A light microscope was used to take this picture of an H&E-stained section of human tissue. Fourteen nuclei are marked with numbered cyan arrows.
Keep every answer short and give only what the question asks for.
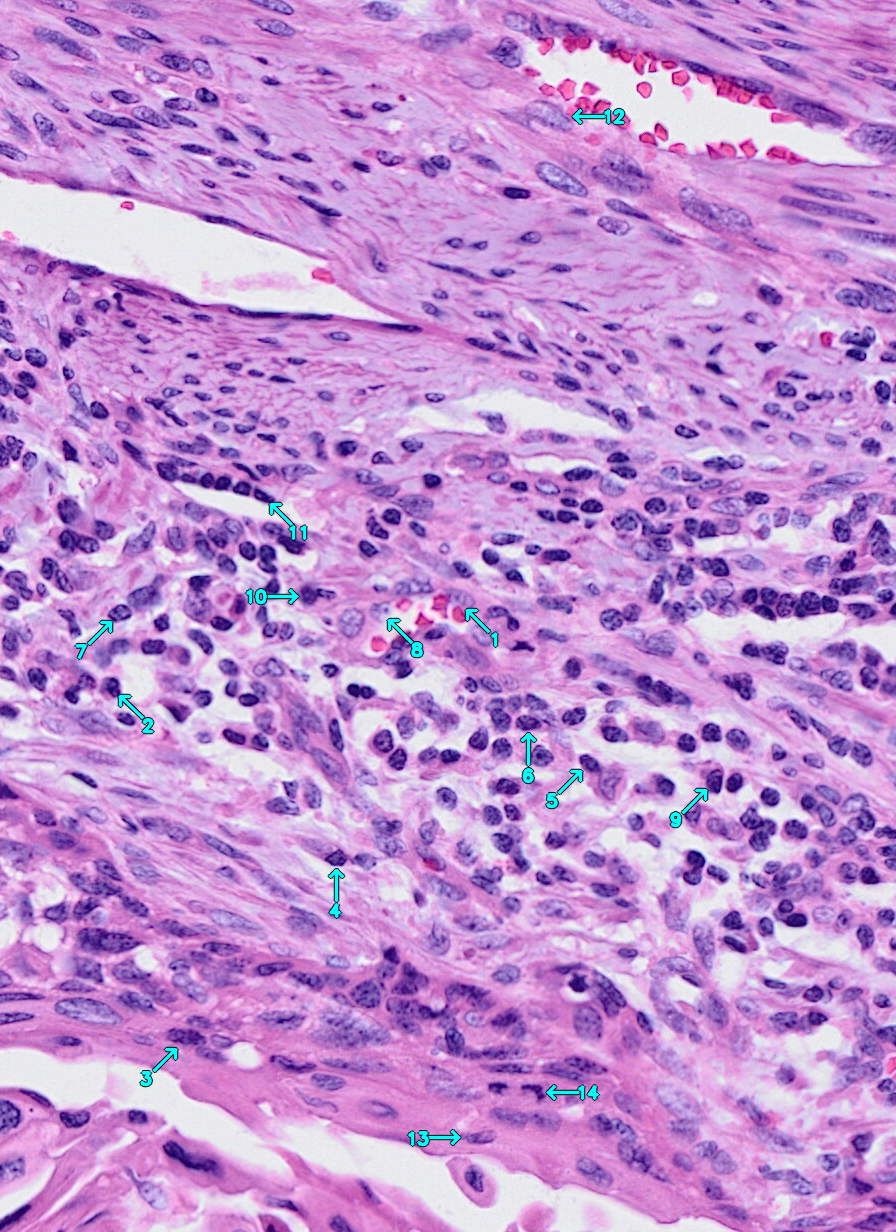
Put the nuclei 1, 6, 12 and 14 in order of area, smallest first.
14, 6, 1, 12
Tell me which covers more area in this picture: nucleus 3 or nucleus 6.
3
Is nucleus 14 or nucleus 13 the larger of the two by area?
13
